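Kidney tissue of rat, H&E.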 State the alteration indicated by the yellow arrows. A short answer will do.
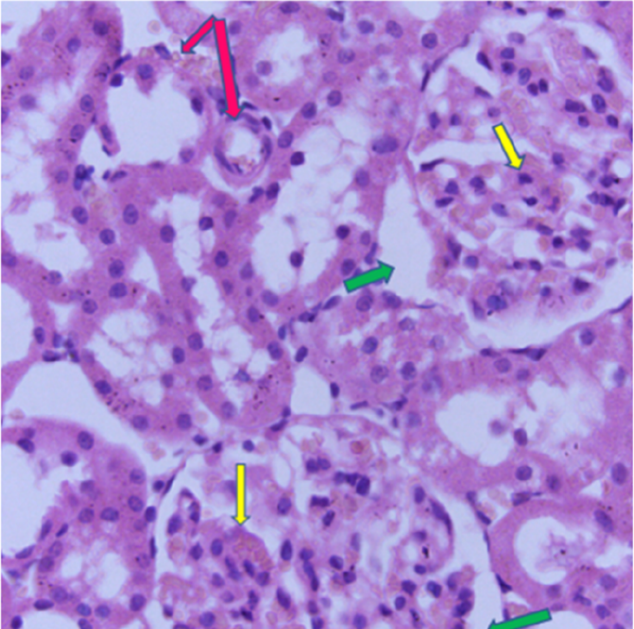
congestion of glomeruli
